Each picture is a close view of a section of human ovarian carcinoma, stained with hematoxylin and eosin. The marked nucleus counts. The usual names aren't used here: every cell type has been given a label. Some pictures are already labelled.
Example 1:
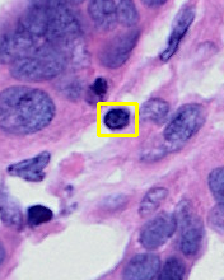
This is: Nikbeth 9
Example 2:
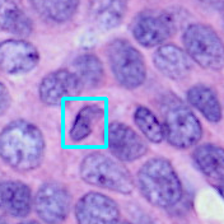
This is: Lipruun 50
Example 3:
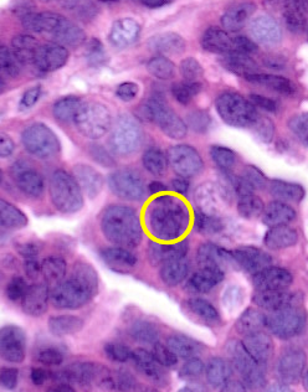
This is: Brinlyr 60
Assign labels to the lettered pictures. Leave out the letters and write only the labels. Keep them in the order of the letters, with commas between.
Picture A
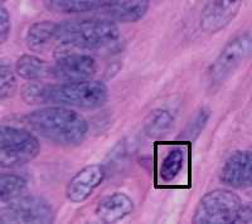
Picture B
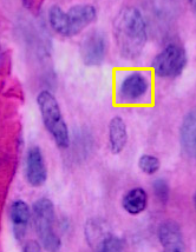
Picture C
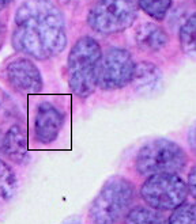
Nikbeth 9, Nikbeth 9, Lipruun 50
